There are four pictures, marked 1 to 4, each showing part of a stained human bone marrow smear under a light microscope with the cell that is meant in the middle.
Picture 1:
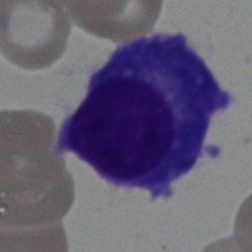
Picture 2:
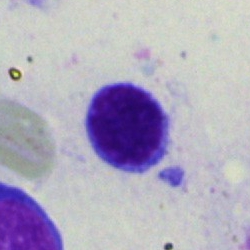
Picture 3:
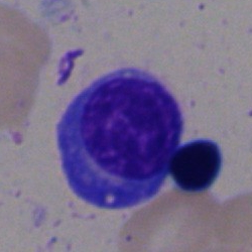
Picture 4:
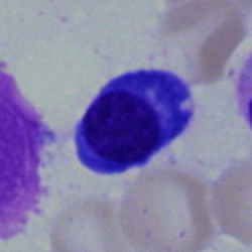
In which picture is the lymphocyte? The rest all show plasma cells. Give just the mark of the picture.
2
